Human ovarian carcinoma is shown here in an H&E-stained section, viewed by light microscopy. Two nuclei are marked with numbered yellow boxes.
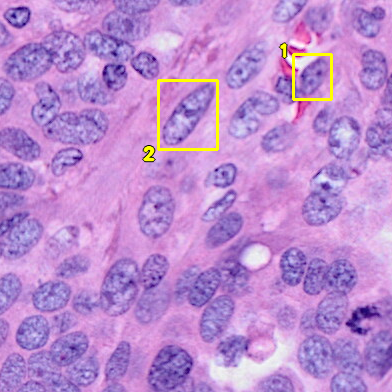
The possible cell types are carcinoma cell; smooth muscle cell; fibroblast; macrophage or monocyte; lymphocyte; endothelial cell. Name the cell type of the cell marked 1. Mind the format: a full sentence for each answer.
Cell 1, among those numbered, is an endothelial cell.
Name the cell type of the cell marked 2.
The cell indicated with the number 2 is classed as a fibroblast.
